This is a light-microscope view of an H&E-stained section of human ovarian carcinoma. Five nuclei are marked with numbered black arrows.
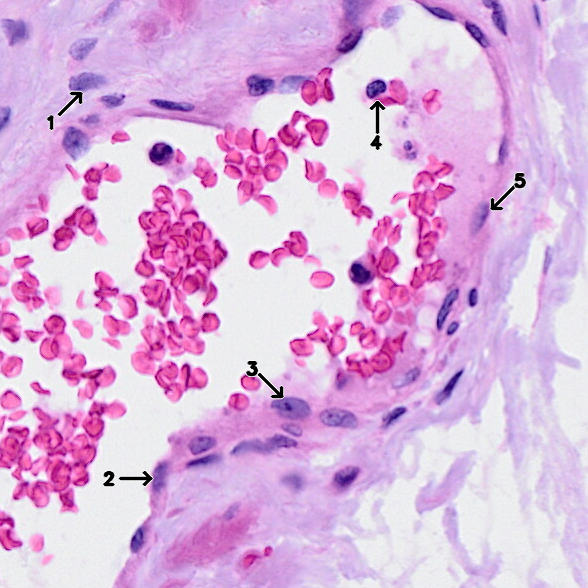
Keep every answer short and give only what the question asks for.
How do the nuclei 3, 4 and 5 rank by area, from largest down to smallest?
3, 5, 4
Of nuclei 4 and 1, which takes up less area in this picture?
4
